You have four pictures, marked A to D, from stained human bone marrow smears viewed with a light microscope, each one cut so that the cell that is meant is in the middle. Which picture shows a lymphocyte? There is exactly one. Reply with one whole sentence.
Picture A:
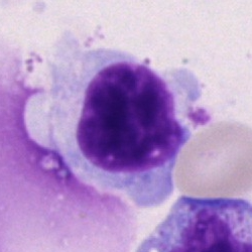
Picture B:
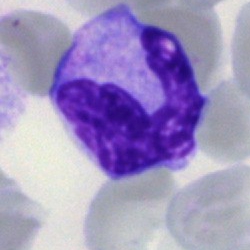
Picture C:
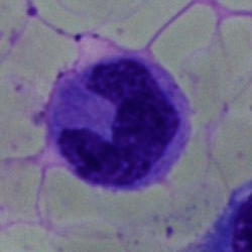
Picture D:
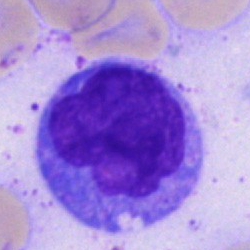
The picture with the lymphocyte is A.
